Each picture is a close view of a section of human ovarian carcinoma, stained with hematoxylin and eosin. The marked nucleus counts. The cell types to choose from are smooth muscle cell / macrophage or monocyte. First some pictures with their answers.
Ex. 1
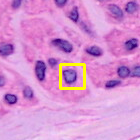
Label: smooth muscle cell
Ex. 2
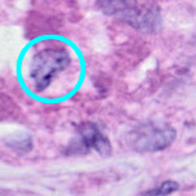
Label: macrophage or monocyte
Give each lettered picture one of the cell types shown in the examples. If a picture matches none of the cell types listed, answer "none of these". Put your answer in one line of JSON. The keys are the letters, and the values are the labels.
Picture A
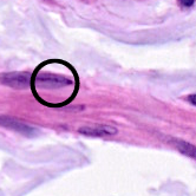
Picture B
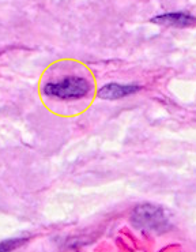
{"A": "smooth muscle cell", "B": "macrophage or monocyte"}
